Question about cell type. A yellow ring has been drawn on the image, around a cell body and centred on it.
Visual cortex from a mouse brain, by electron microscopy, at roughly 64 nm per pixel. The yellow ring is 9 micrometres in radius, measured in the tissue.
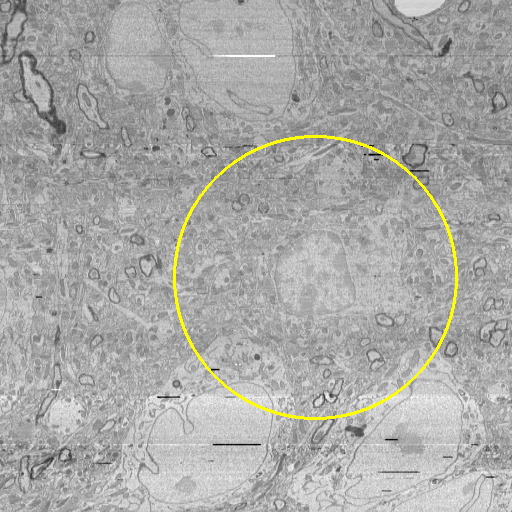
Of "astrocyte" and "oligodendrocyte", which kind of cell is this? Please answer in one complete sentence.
At the centre of the ring lies an oligodendrocyte.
